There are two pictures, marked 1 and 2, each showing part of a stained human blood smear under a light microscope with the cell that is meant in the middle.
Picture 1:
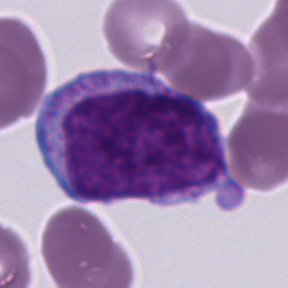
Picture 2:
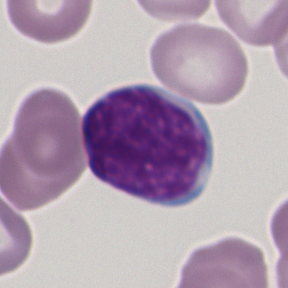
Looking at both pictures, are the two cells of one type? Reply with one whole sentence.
No, they differ: the cell is an atypical promyelocyte in picture 1 and a myeloblast in picture 2.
